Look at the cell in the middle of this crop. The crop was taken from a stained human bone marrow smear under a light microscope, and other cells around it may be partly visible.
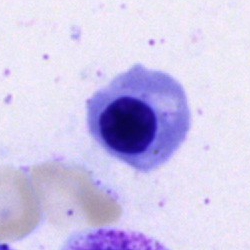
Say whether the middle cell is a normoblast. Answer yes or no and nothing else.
yes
